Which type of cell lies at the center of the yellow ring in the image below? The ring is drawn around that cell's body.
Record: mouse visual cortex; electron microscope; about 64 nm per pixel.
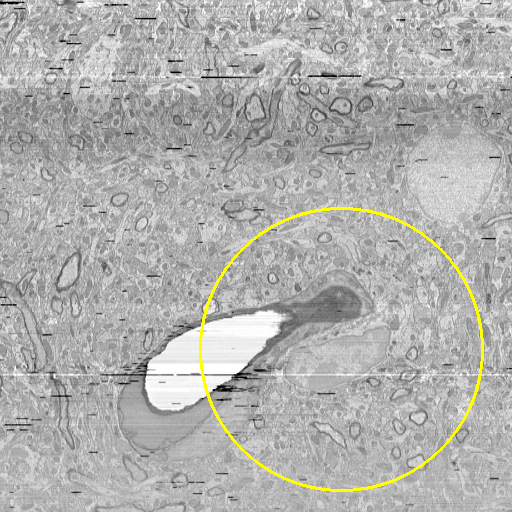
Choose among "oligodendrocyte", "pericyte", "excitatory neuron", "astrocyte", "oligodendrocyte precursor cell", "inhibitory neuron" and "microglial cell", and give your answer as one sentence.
The cell body at the center belongs to a microglial cell.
